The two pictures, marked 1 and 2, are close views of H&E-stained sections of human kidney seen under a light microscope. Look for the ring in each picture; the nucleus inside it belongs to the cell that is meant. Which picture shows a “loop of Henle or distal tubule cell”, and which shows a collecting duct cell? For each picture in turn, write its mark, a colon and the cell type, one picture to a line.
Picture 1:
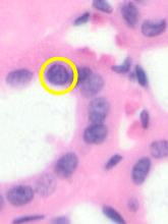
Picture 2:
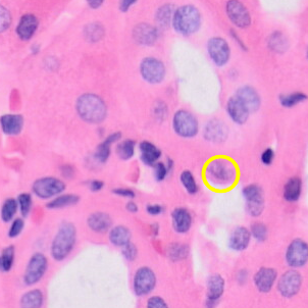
1: collecting duct cell
2: loop of Henle or distal tubule cell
